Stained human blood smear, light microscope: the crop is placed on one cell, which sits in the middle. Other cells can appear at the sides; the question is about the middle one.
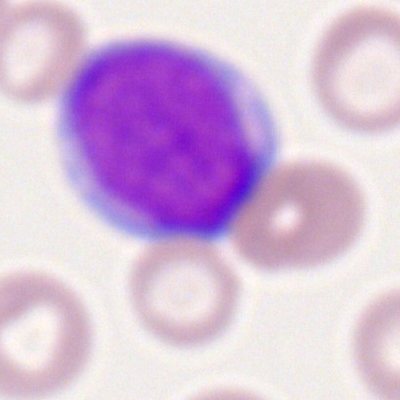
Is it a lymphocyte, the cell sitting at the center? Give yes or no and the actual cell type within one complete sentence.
No, in this crop the central cell is a myeloblast instead of a lymphocyte.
